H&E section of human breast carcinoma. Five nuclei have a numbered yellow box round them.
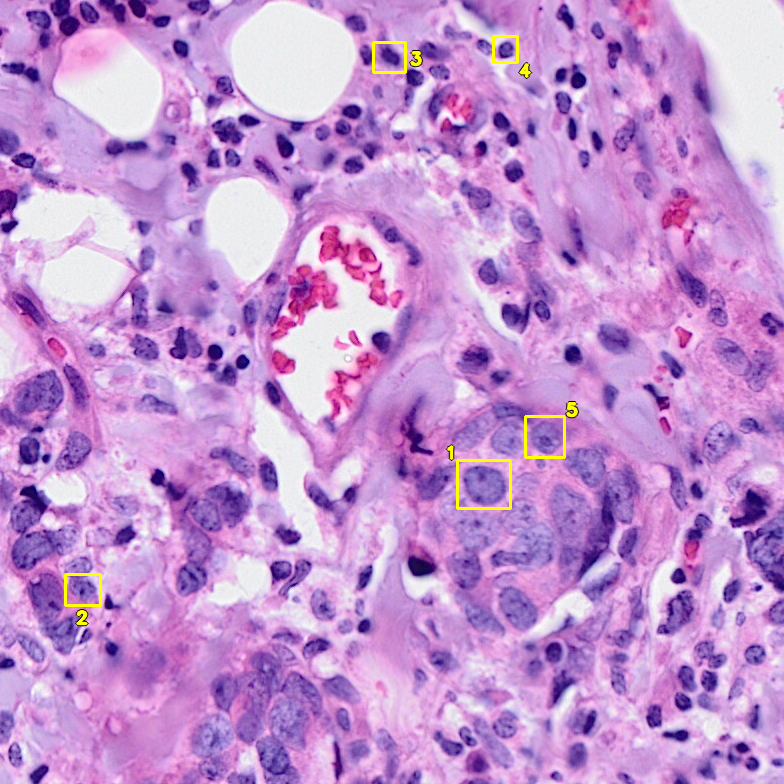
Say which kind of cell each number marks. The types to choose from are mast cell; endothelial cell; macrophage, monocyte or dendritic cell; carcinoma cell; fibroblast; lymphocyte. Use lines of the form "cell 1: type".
cell 1: carcinoma cell
cell 2: carcinoma cell
cell 3: lymphocyte
cell 4: lymphocyte
cell 5: carcinoma cell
